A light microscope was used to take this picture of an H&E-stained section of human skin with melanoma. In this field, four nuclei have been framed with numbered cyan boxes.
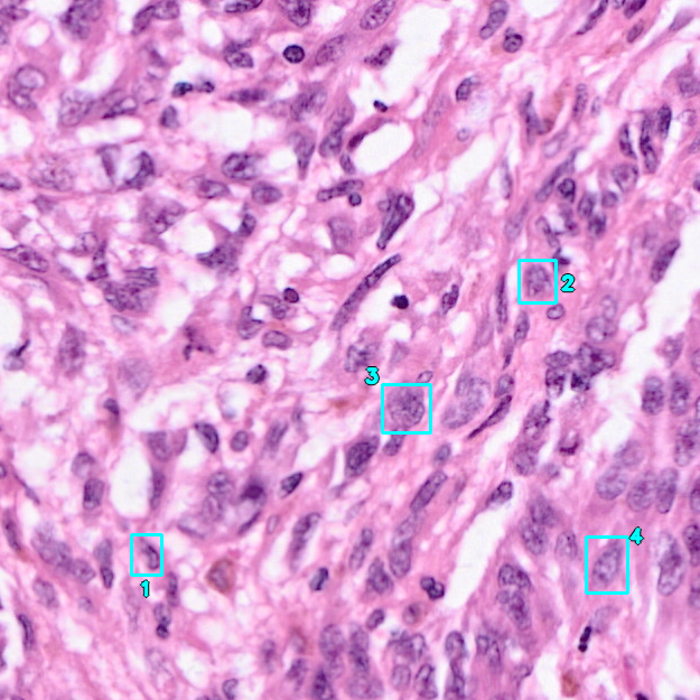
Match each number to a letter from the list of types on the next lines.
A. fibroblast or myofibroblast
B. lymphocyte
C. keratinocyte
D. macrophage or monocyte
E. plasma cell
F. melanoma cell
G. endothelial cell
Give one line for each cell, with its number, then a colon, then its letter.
1: D
2: F
3: F
4: F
